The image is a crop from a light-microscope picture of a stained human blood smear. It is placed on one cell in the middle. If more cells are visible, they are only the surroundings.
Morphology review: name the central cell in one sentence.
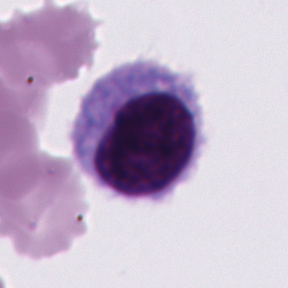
The cell sitting right in the middle is a hairy cell.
